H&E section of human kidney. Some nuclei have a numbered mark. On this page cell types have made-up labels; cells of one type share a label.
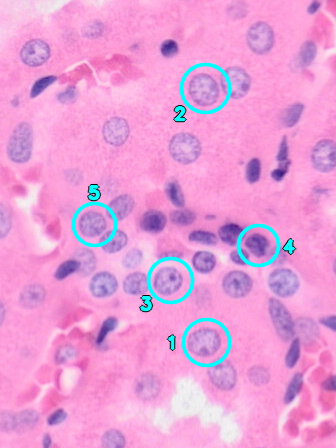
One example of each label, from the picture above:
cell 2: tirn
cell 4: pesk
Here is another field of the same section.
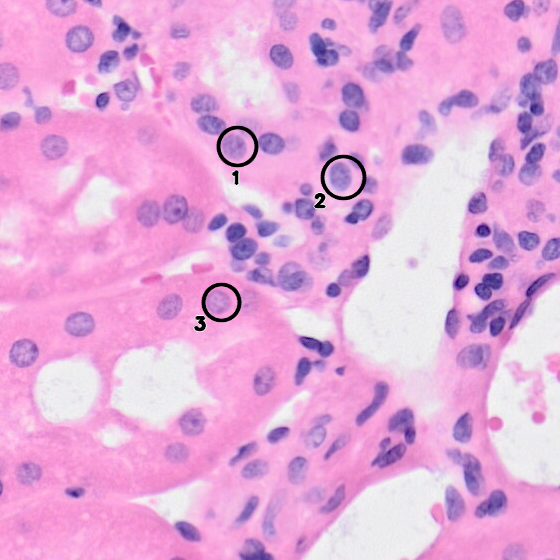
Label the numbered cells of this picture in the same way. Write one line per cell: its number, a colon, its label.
1: pesk
2: pesk
3: tirn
